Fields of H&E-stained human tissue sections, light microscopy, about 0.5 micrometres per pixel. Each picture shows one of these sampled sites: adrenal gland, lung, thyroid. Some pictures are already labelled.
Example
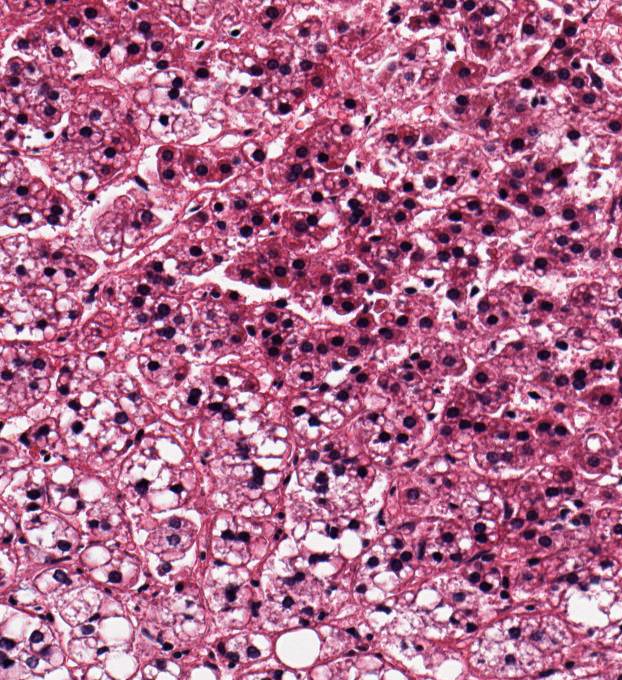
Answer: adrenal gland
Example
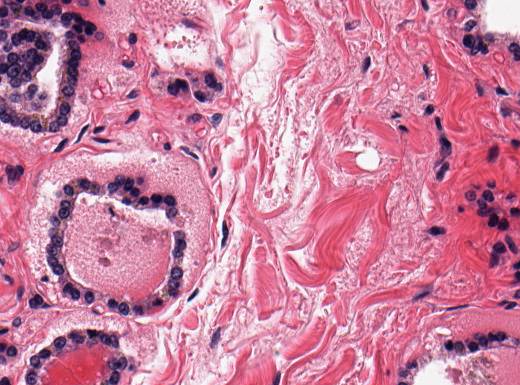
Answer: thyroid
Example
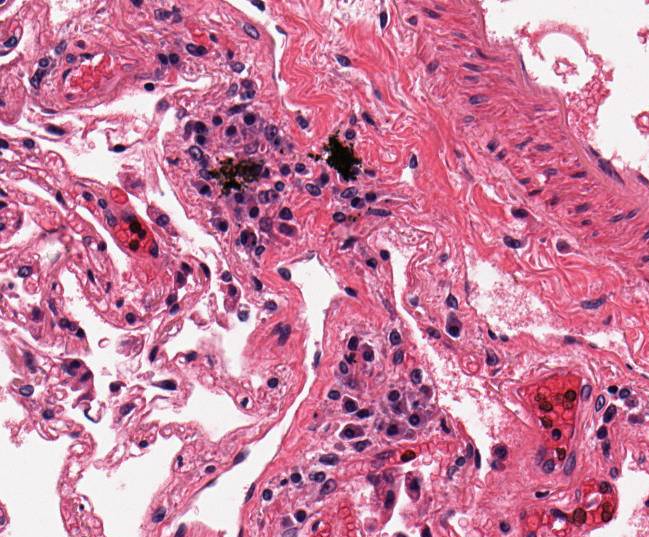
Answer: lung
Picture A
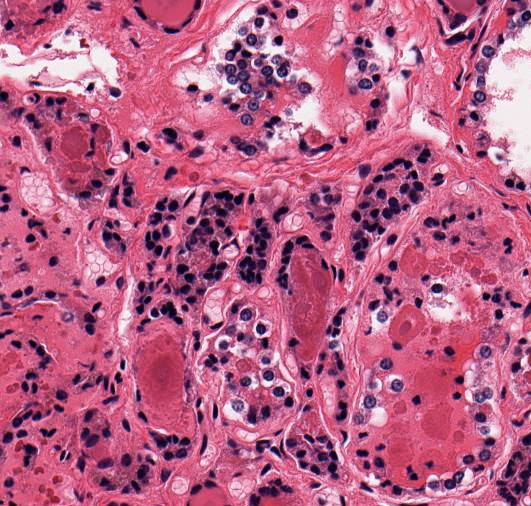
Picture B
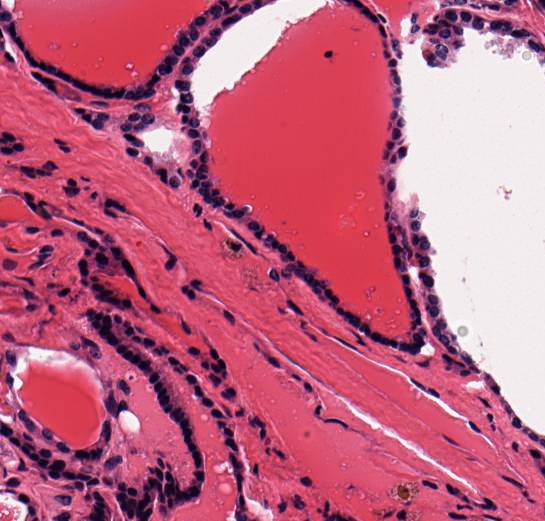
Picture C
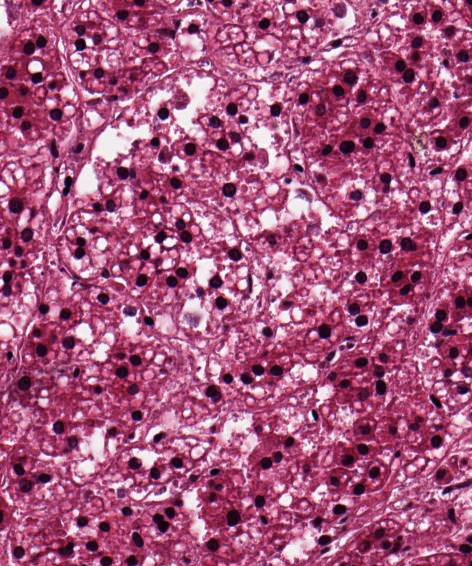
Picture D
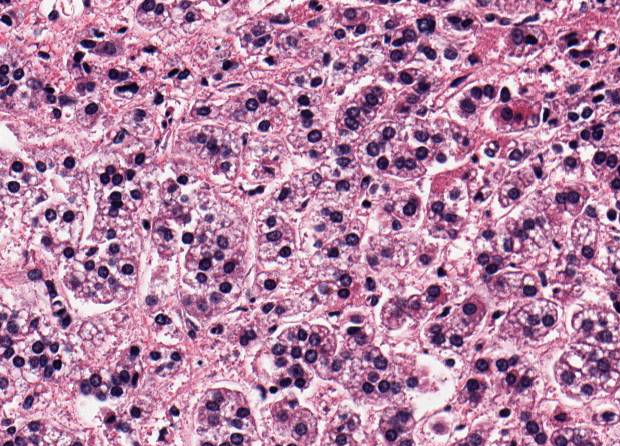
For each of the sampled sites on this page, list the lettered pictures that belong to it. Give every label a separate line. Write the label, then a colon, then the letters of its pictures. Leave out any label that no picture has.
adrenal gland: C, D
thyroid: A, B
